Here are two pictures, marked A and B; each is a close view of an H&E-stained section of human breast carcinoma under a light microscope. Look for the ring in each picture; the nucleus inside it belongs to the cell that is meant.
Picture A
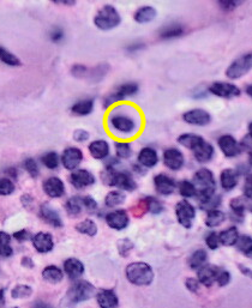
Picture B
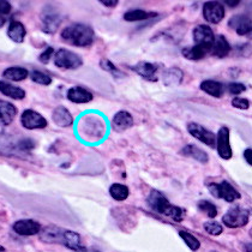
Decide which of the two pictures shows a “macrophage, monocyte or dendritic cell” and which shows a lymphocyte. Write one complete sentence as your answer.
The cell in picture A is a lymphocyte, and the one in picture B is a “macrophage, monocyte or dendritic cell”.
